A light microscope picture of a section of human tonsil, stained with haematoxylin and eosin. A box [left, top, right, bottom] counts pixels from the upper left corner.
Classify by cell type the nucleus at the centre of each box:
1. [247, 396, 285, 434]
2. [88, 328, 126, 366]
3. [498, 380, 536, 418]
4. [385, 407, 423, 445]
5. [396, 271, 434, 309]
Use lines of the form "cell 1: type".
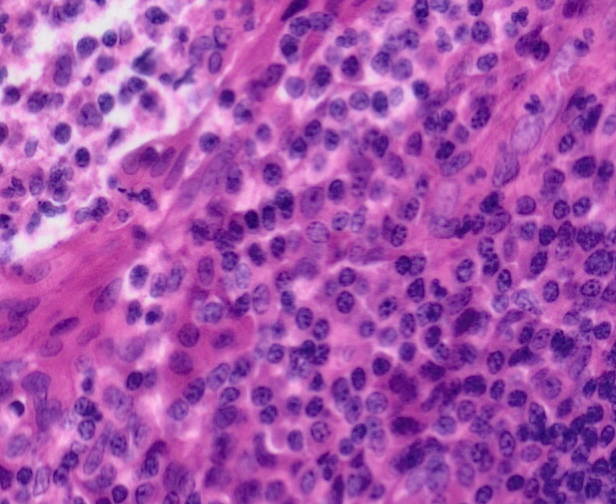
cell 1: plasma cell
cell 2: squamous epithelial cell
cell 3: plasma cell
cell 4: squamous epithelial cell
cell 5: plasma cell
